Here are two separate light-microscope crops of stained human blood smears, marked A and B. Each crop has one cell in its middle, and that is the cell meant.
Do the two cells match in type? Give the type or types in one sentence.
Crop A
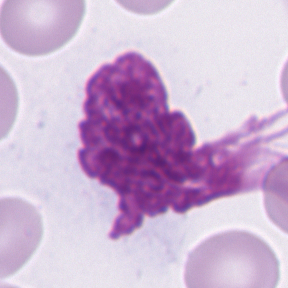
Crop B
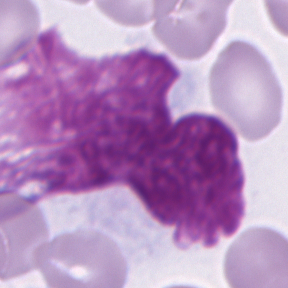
Yes, both crops depict smudge cells at the centre.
